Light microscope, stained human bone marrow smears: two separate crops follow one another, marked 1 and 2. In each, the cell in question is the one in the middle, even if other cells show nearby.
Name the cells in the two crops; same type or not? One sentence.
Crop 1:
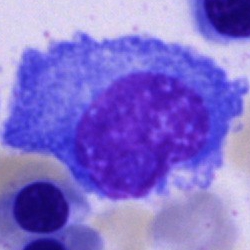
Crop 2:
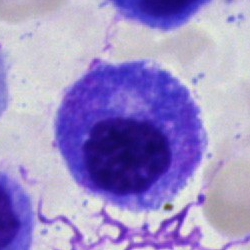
Yes, plasma cells are the central cells in the two crops.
